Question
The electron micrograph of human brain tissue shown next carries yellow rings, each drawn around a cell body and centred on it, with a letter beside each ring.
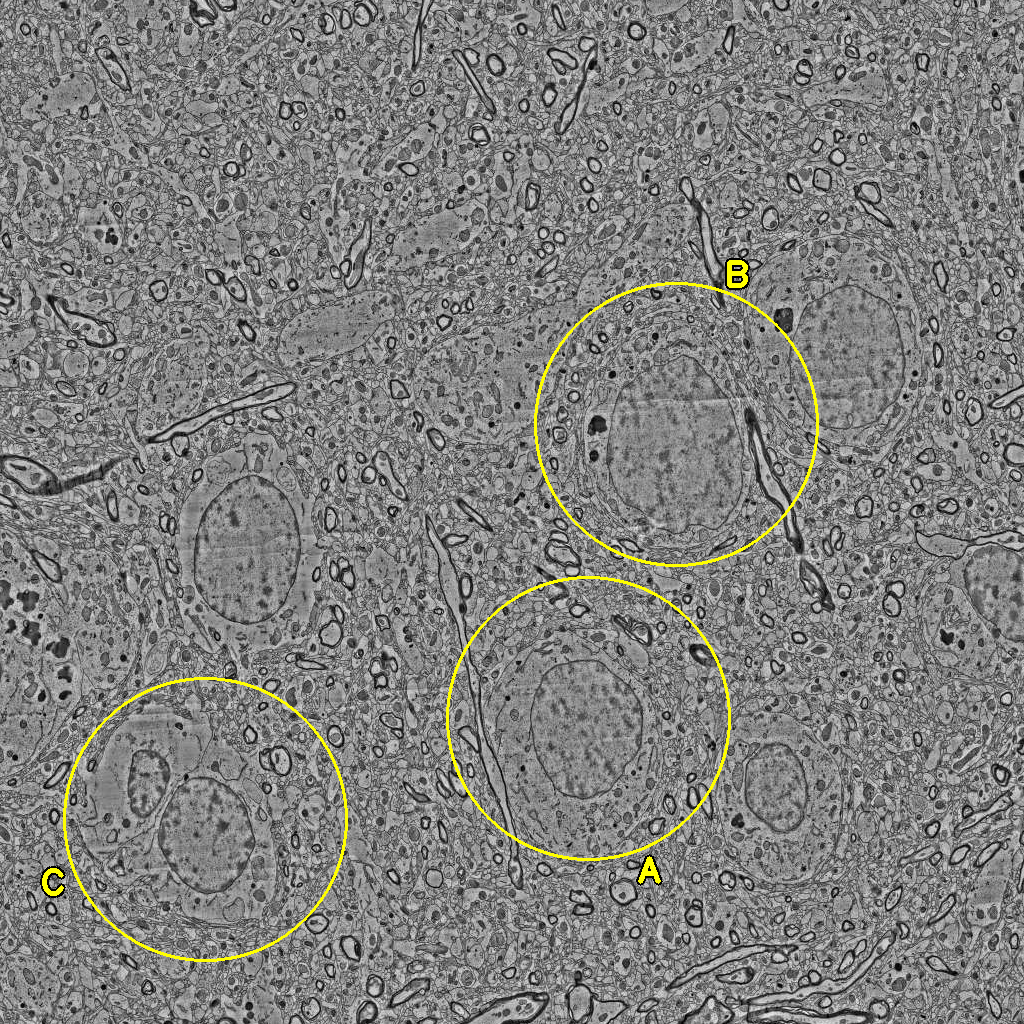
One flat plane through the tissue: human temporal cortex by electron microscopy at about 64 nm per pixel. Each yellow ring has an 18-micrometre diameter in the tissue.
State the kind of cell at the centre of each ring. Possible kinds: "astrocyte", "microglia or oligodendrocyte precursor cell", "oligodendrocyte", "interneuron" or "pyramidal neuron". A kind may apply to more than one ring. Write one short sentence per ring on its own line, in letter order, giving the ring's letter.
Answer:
The cell centred in ring A is a pyramidal neuron.
The cell centred in ring B is a pyramidal neuron.
The cell centred in ring C is an astrocyte.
